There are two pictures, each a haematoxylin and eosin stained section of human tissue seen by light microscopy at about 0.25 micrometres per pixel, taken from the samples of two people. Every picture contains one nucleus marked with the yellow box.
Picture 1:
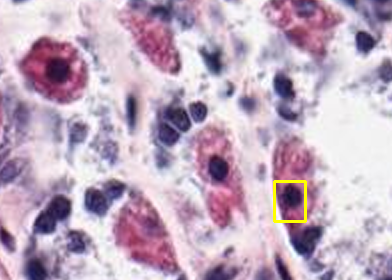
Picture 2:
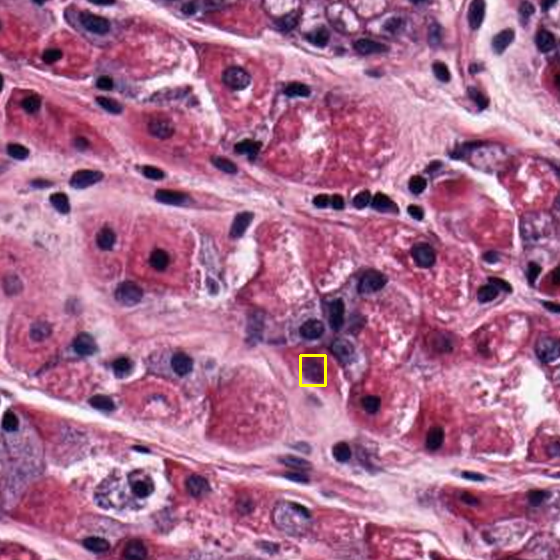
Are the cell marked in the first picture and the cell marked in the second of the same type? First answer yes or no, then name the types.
Yes, both are parietal cells.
